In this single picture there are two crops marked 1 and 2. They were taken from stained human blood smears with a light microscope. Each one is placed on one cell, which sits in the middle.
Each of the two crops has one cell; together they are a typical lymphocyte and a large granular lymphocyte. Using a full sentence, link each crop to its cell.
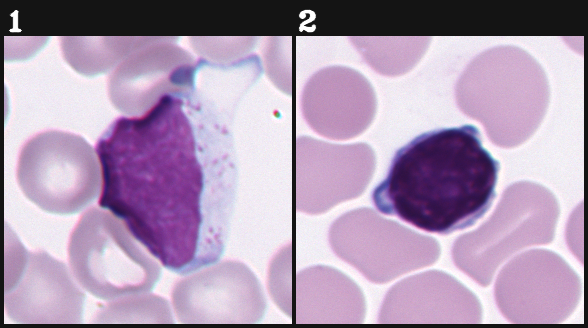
Crop 1 is occupied by a large granular lymphocyte, and crop 2 is occupied by a typical lymphocyte.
